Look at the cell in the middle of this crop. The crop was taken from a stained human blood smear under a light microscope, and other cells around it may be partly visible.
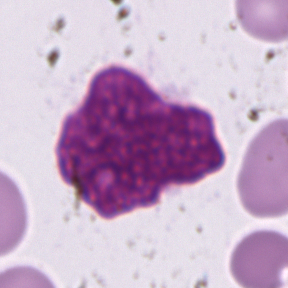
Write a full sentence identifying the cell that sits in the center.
Classified as a smudge cell is the cell in the middle of this crop.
